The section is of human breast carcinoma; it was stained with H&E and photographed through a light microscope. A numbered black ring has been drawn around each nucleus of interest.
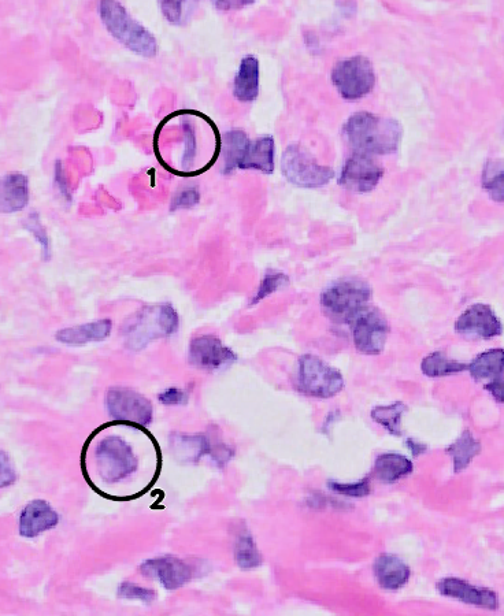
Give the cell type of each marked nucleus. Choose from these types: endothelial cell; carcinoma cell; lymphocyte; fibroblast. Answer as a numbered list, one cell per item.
1. endothelial cell
2. carcinoma cell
